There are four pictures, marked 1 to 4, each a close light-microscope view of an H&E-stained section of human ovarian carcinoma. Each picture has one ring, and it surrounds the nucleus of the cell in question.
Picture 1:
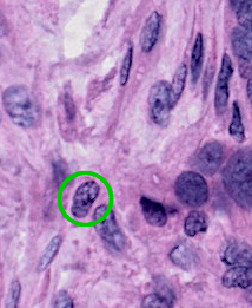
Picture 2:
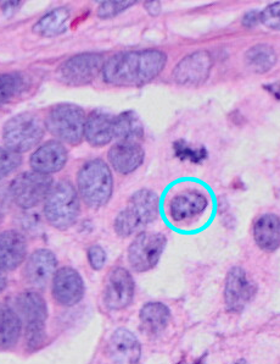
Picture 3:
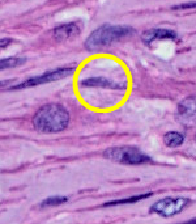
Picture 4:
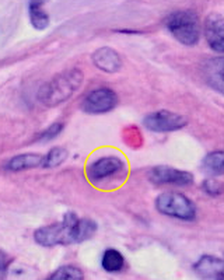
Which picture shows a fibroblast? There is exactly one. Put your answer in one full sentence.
Picture 3 is the one that shows the fibroblast.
